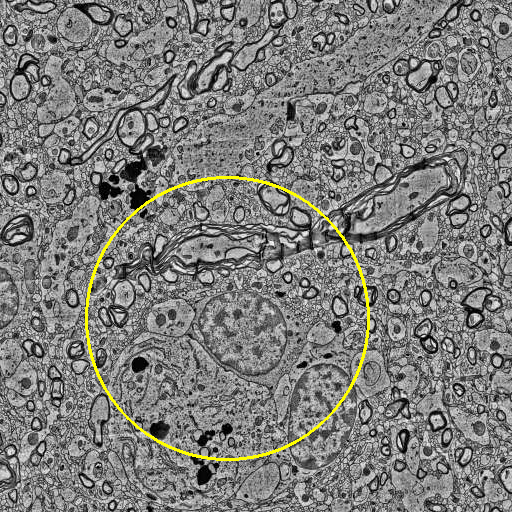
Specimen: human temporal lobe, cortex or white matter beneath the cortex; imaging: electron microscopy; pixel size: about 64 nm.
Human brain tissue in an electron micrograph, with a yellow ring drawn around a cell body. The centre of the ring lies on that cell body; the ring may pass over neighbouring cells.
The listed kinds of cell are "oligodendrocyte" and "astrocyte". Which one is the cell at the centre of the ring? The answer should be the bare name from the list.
oligodendrocyte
